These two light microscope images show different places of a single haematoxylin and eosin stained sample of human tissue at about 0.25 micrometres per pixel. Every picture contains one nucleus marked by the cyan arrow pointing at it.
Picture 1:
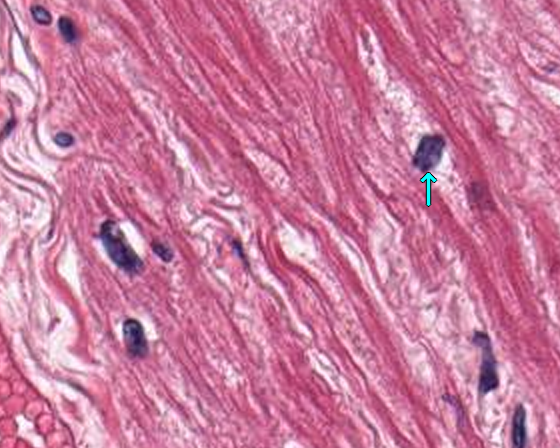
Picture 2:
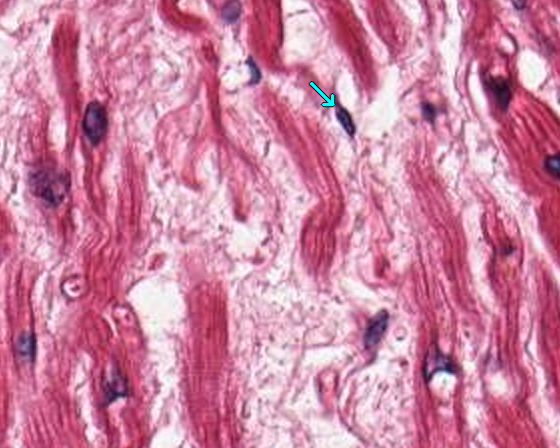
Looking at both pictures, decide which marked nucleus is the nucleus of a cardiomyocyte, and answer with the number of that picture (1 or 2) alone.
1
